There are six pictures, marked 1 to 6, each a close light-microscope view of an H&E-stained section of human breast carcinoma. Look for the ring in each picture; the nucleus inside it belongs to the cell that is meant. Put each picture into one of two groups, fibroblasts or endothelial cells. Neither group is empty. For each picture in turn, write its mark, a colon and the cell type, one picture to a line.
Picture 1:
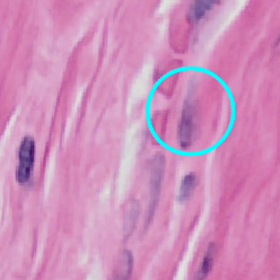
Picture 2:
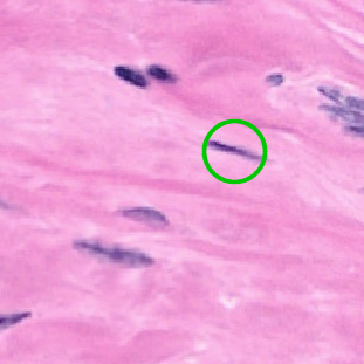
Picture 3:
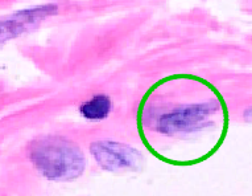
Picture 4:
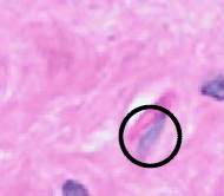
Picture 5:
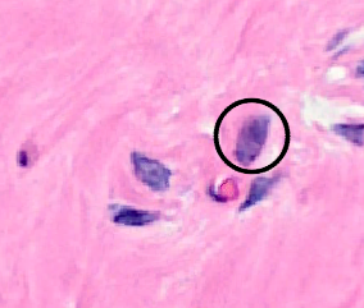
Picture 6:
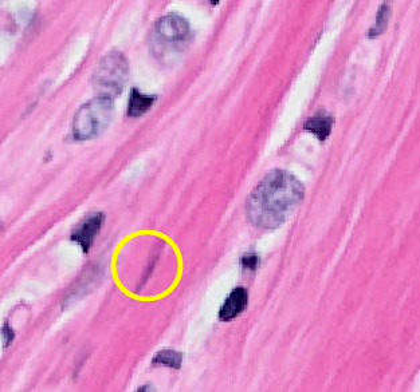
1: endothelial cell
2: fibroblast
3: endothelial cell
4: endothelial cell
5: endothelial cell
6: fibroblast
